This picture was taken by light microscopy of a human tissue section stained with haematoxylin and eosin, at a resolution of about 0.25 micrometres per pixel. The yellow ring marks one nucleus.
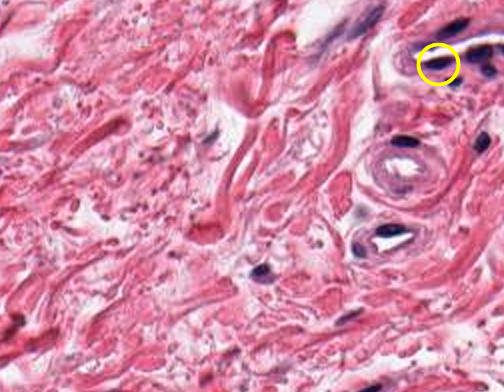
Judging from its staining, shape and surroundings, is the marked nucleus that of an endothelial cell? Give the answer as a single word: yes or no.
yes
